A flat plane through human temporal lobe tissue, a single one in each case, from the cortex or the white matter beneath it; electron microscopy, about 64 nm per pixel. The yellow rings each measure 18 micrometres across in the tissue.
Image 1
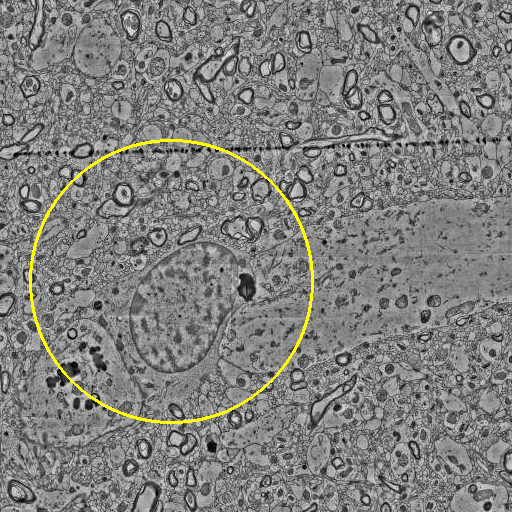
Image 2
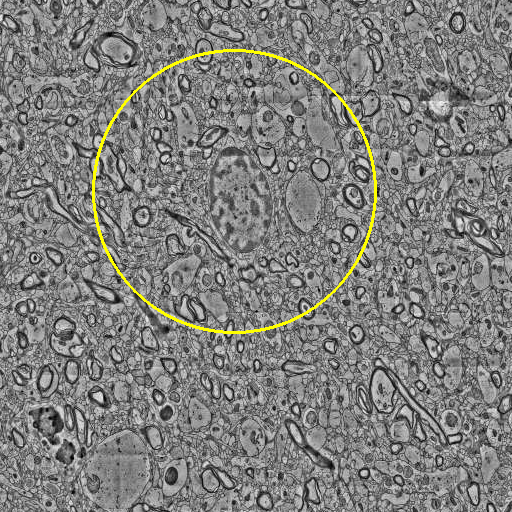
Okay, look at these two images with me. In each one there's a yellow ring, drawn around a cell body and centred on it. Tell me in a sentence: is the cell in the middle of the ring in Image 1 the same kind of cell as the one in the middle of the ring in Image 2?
No, they're two kinds of cell.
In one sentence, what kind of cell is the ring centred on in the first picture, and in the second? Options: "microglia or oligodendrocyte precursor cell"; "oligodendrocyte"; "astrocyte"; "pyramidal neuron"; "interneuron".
The cell at the centre of the second ring is a microglial cell or oligodendrocyte precursor cell; the first ring's cell is an oligodendrocyte.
